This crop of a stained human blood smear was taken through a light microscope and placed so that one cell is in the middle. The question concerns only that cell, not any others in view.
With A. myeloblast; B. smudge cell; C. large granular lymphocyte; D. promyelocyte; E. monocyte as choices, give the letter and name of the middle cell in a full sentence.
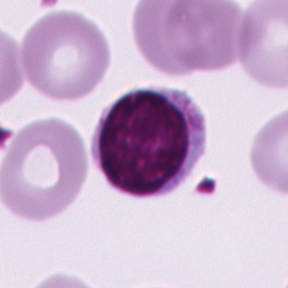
Option C is to be chosen, as the central cell is a large granular lymphocyte.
